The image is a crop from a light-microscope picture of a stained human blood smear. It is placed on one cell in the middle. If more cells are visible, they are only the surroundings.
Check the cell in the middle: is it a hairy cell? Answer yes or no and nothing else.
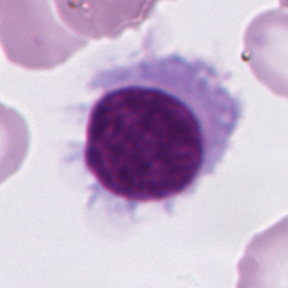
yes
